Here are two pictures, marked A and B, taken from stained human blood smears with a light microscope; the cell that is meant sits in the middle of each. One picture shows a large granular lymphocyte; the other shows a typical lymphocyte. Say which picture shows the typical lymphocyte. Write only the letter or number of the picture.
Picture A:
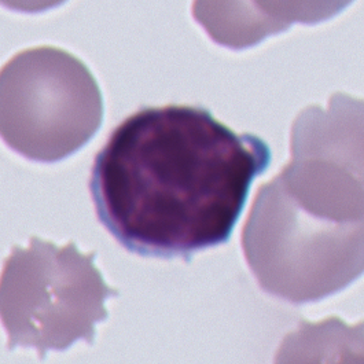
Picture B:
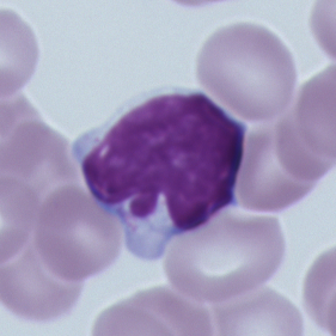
A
